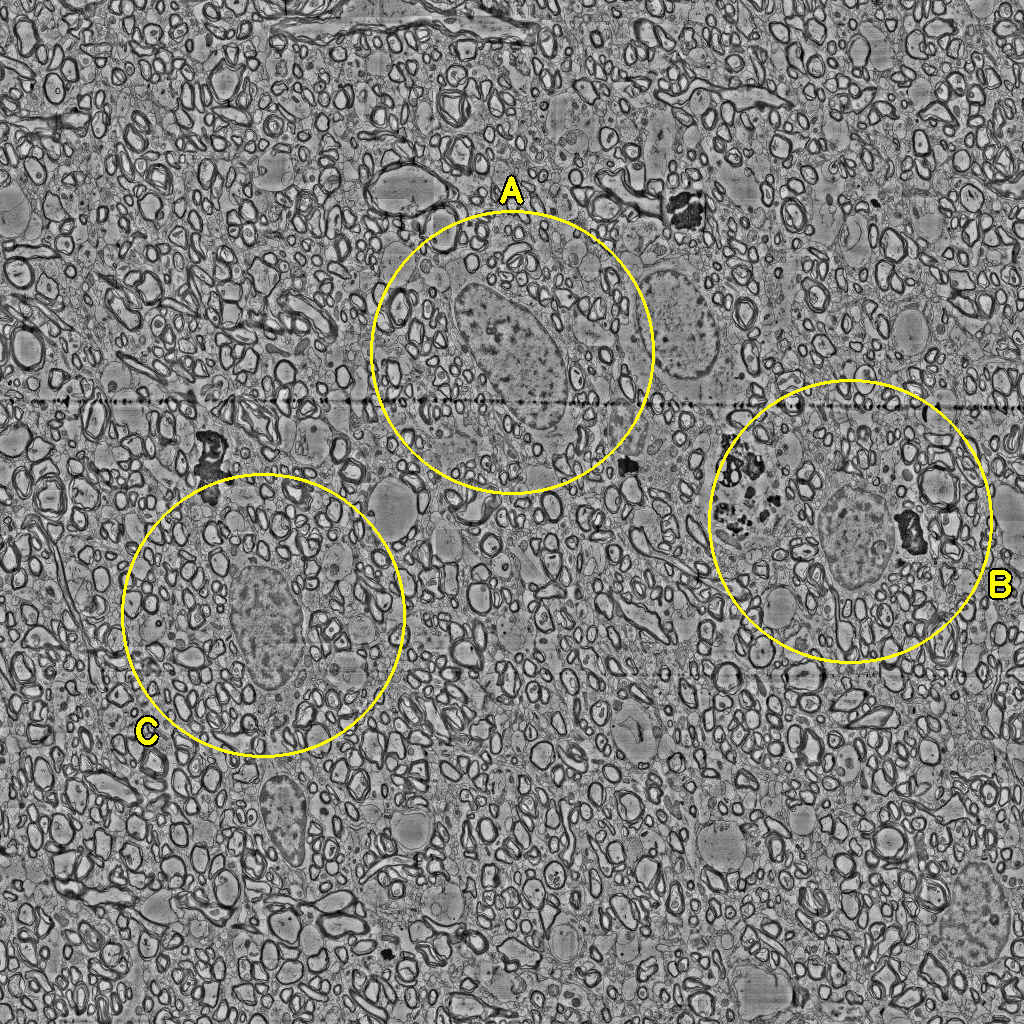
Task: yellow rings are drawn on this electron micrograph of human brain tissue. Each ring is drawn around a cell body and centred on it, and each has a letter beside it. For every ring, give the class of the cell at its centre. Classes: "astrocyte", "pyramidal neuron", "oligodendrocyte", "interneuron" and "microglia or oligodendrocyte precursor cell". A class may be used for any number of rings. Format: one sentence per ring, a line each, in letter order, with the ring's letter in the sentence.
The cell ringed as A is a microglial cell or oligodendrocyte precursor cell.
The cell ringed as B is an oligodendrocyte.
The cell ringed as C is an oligodendrocyte.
